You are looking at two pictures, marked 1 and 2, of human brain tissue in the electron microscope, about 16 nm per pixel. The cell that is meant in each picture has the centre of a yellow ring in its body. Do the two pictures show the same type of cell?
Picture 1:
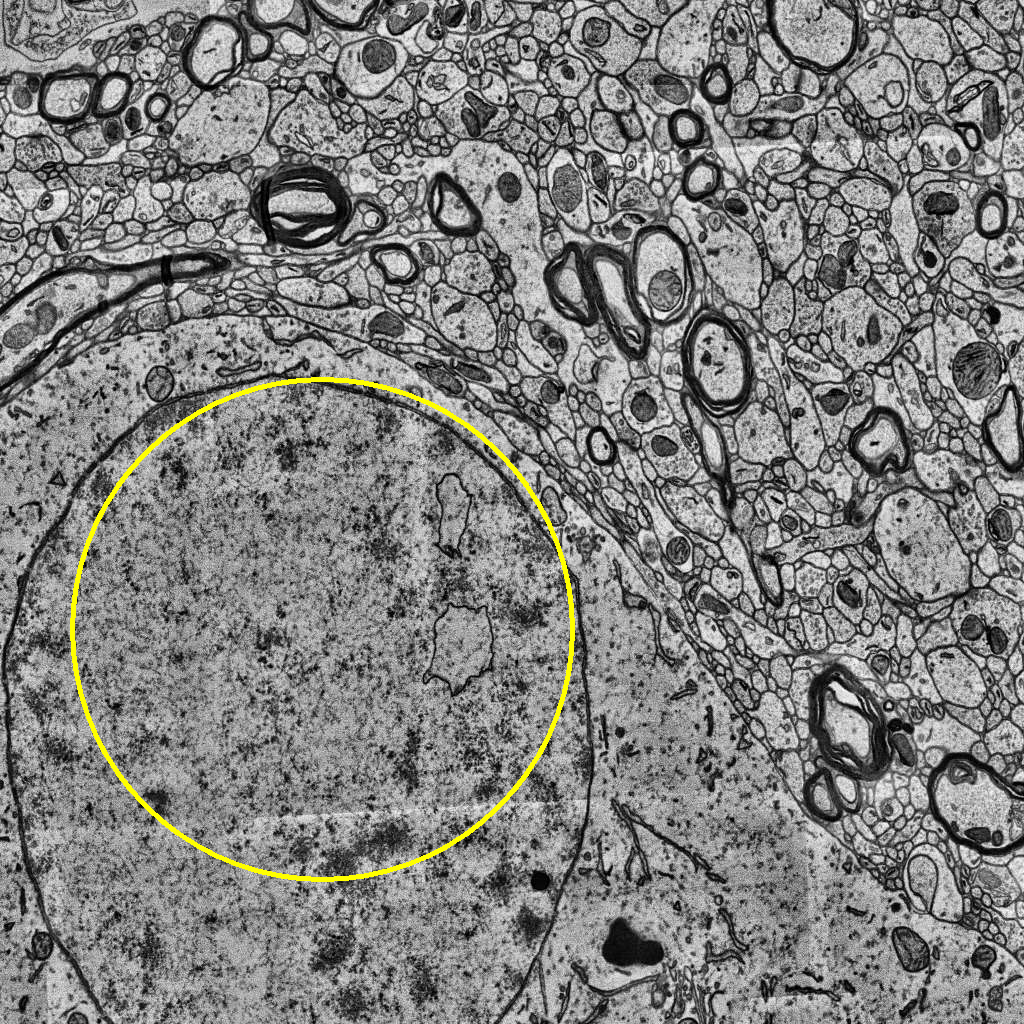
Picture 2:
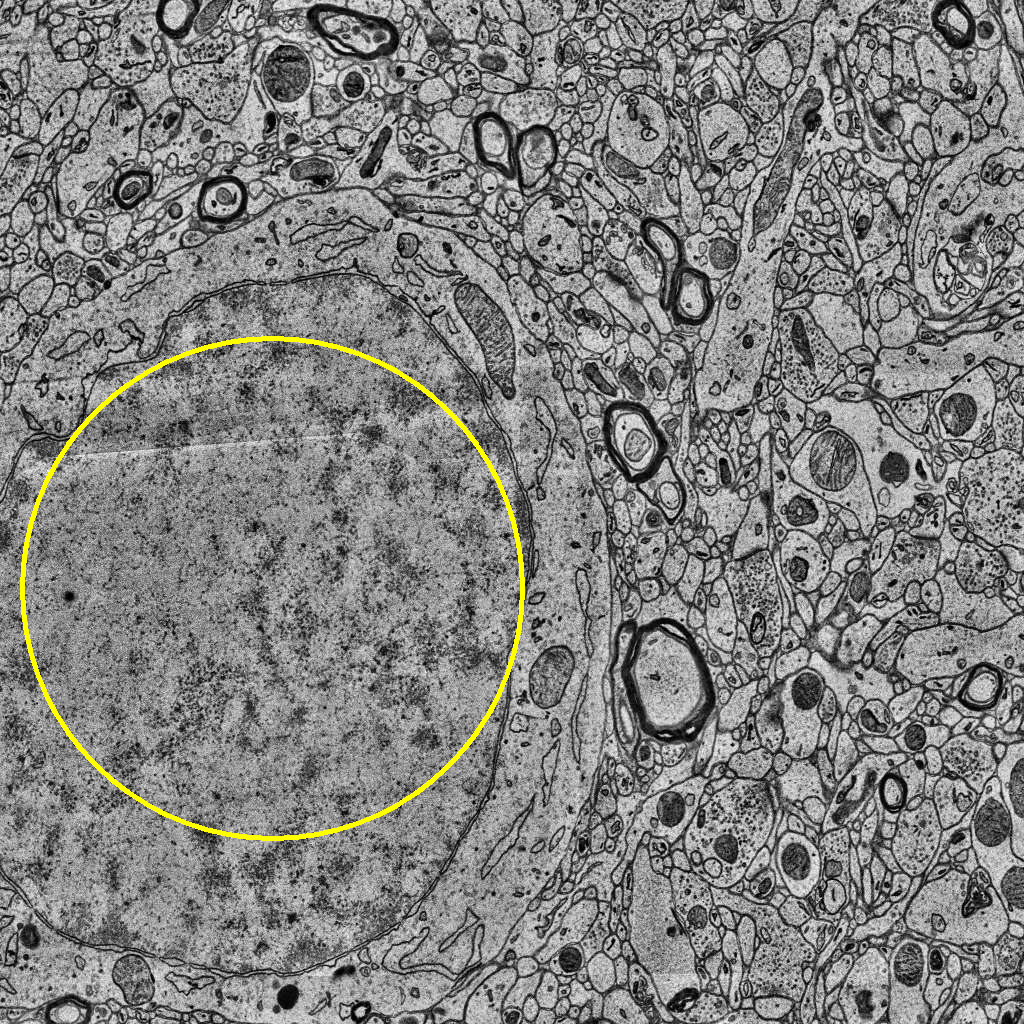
No. Picture 1 shows a pyramidal neuron, but picture 2 shows an interneuron.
